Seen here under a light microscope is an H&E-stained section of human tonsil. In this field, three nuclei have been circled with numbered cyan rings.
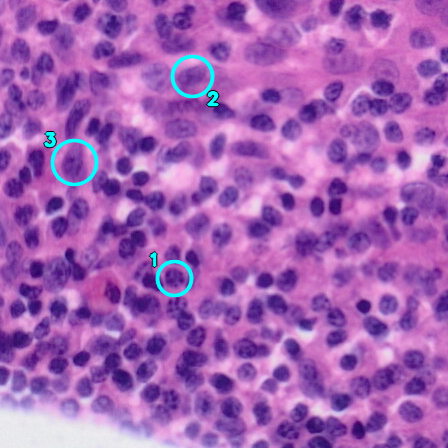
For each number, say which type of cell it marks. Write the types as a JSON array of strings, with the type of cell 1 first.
["plasma cell", "squamous epithelial cell", "squamous epithelial cell"]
